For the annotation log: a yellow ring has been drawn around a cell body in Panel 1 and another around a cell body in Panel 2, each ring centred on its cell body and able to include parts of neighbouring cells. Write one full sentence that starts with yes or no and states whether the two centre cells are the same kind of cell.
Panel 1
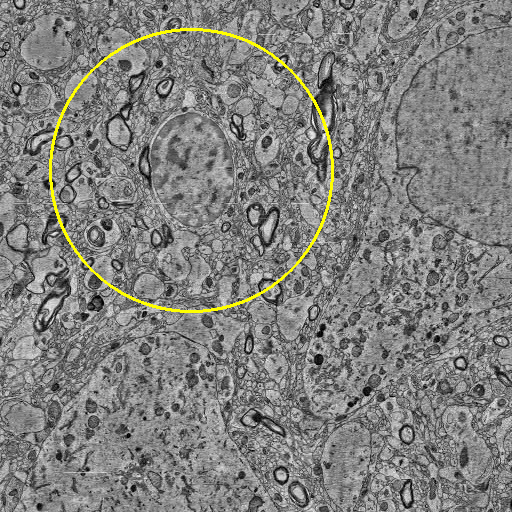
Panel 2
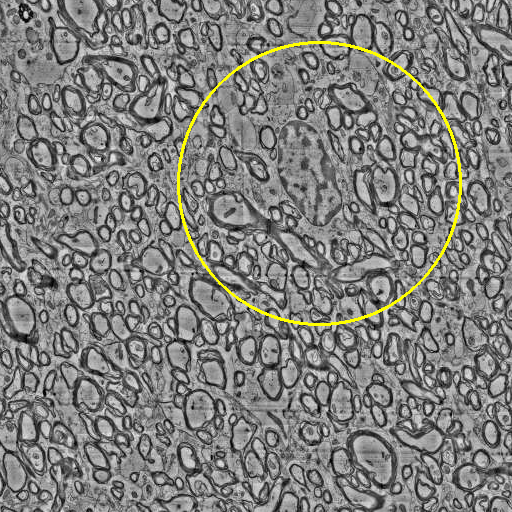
Yes, the two centre cells are the same kind of cell.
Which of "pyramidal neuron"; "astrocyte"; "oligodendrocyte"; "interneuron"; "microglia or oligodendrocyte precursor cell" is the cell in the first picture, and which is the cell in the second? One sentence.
Each of the two cells is a microglial cell or oligodendrocyte precursor cell.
